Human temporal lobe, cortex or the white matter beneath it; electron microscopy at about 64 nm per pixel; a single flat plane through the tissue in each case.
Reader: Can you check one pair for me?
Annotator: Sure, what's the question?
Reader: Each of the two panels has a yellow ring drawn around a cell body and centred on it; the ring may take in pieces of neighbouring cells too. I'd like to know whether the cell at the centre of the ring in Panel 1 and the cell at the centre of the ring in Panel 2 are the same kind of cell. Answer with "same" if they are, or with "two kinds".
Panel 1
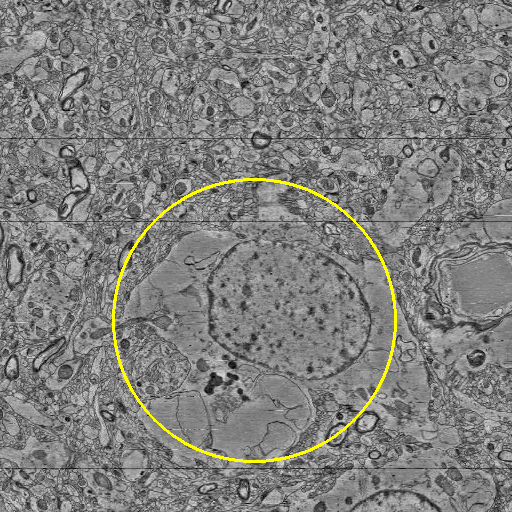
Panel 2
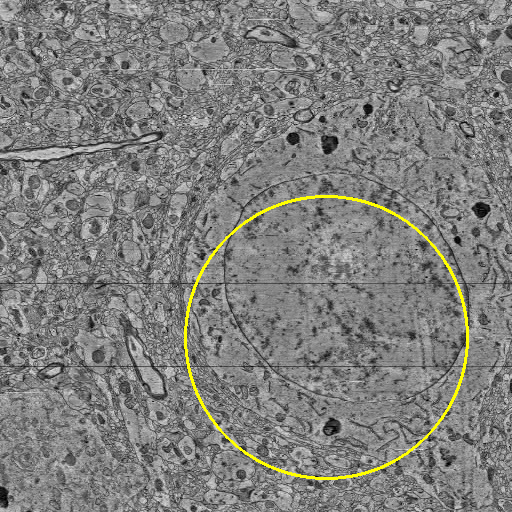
two kinds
